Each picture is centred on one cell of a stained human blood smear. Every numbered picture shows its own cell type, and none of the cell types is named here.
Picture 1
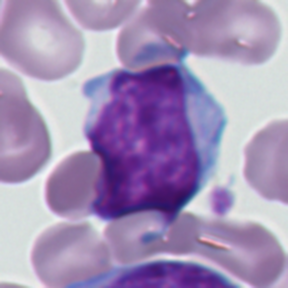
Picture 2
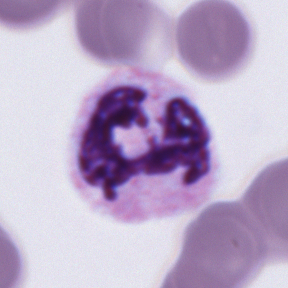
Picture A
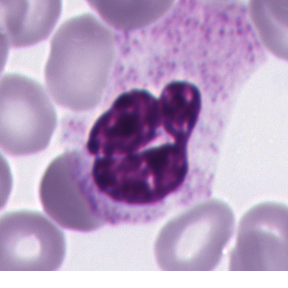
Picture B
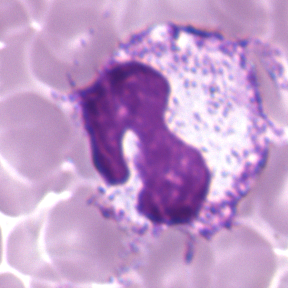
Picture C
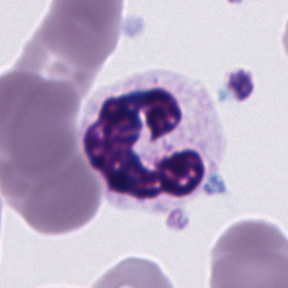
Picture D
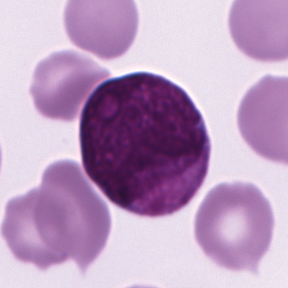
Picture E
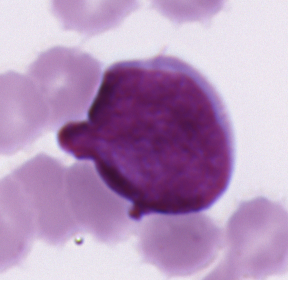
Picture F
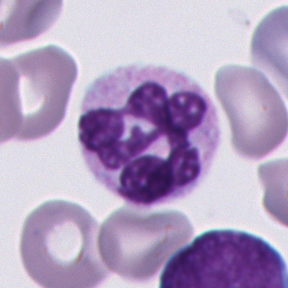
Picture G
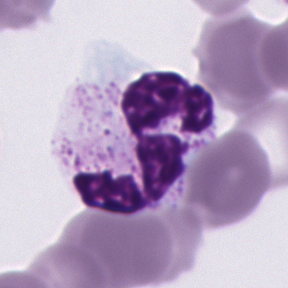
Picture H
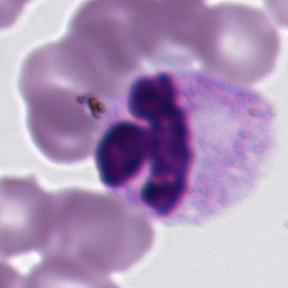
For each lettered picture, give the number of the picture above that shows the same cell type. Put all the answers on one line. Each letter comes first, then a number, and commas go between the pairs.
A 2, B 2, C 2, D 1, E 1, F 2, G 2, H 2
